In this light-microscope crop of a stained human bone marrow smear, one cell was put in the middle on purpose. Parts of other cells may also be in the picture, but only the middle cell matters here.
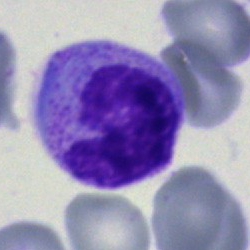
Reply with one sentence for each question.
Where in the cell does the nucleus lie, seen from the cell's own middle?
The nucleus lies toward the lower right of the cell.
